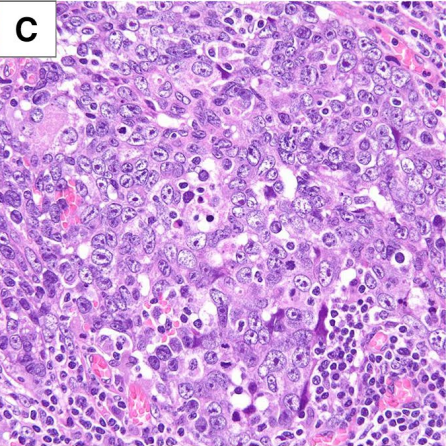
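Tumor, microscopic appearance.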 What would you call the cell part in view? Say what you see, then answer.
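Conspicuous nucleoli. Many vesicular nuclei contain a distinct dark nucleolus.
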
